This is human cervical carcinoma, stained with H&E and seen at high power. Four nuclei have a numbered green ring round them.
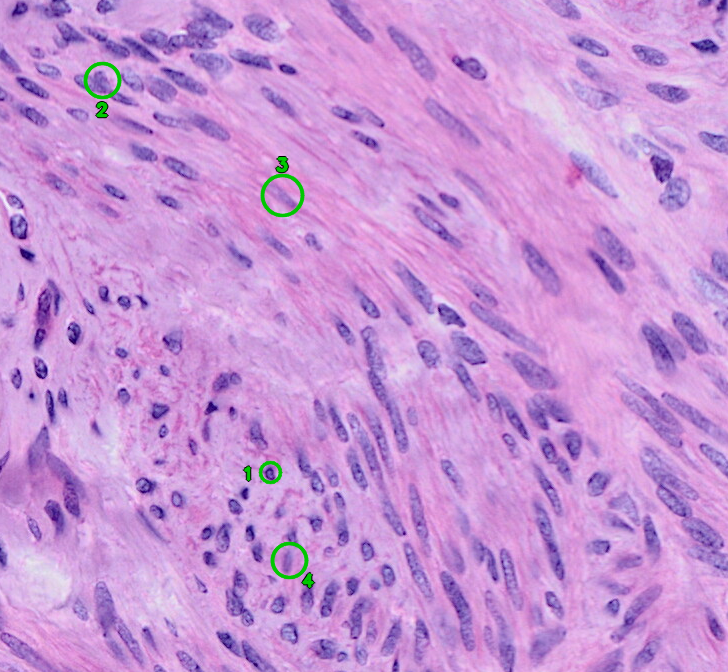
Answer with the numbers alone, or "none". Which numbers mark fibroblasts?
2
